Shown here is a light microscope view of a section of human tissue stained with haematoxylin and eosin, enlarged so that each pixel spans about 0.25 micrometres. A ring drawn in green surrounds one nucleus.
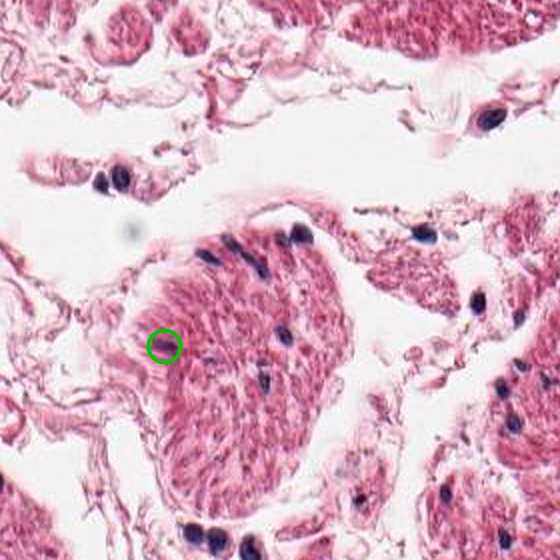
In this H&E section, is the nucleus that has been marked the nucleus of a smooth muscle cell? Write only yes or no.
yes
